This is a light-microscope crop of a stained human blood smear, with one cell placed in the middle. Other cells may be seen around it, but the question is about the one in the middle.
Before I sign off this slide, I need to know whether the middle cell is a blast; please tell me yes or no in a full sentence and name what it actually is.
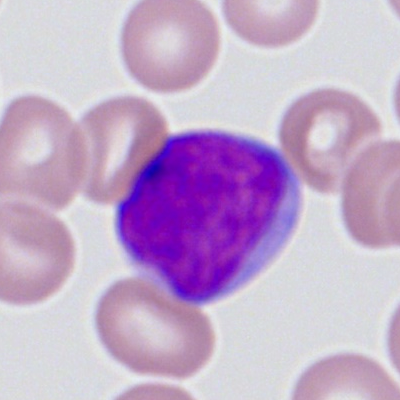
Yes, the cell placed centrally within the crop is a blast.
